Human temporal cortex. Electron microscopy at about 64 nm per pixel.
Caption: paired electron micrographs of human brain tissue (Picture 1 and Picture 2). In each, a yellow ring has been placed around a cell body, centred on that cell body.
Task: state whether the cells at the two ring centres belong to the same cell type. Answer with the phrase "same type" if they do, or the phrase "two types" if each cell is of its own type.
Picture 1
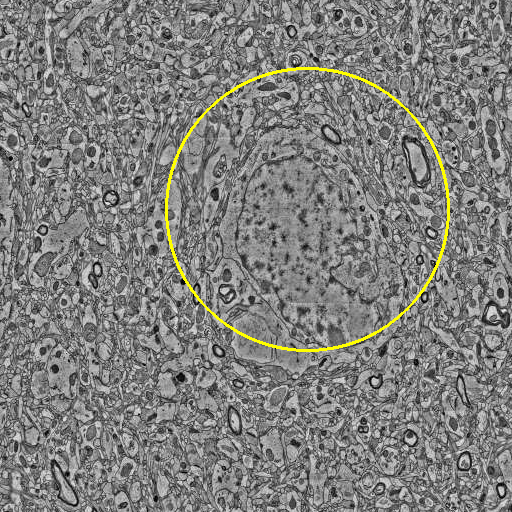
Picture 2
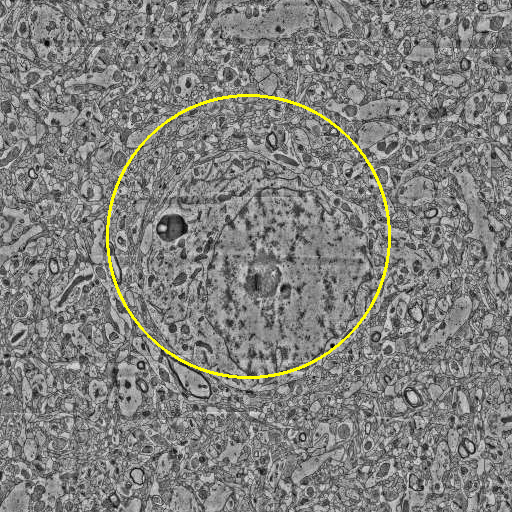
same type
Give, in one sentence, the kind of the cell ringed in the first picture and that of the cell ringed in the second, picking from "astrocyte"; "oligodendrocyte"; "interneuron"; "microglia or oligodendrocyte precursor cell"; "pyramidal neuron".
Each cell, in the first picture and the second, is an interneuron.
